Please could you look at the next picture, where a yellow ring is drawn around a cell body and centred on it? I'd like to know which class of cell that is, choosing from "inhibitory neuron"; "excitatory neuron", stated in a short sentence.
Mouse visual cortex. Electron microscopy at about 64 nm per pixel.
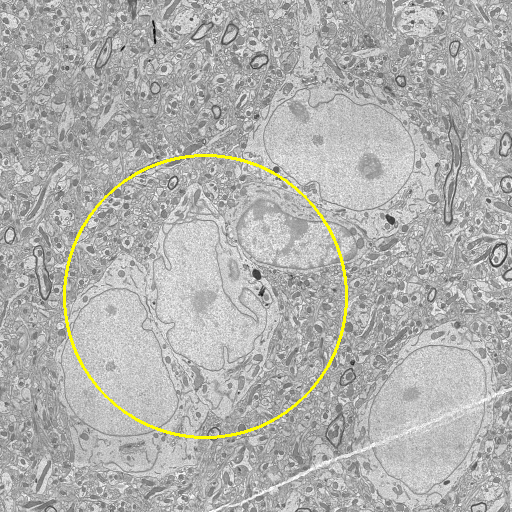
The ring's centre lies on an inhibitory neuron.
